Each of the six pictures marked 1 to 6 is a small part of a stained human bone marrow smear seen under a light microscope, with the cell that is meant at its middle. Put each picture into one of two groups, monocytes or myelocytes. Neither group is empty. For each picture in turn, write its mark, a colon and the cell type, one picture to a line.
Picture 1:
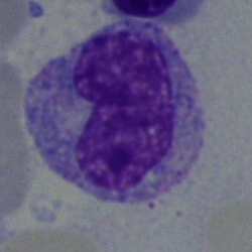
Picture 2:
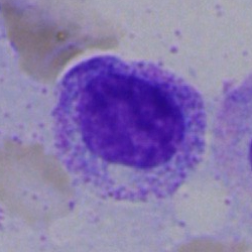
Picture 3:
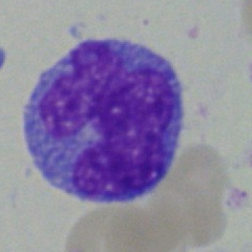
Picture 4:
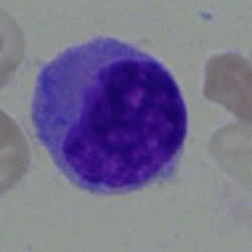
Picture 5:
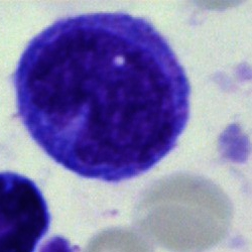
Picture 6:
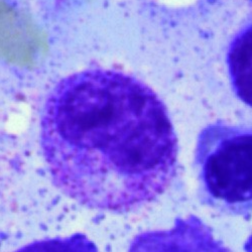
1: monocyte
2: myelocyte
3: monocyte
4: monocyte
5: monocyte
6: myelocyte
